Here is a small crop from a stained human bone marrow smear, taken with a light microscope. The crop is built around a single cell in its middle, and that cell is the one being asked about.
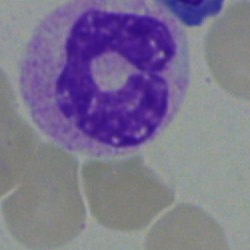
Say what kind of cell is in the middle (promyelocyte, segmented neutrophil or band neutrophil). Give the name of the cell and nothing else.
segmented neutrophil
